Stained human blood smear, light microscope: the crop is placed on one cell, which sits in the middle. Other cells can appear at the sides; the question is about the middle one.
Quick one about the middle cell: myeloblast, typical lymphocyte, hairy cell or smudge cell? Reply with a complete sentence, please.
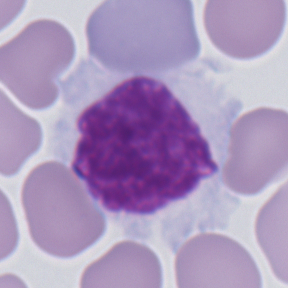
Located at the centre of the crop is a hairy cell.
